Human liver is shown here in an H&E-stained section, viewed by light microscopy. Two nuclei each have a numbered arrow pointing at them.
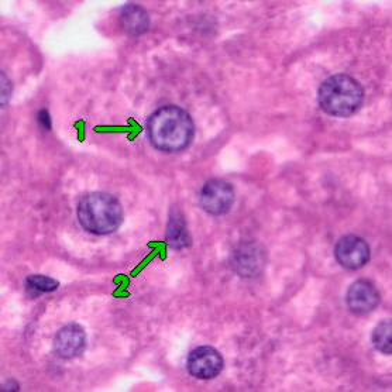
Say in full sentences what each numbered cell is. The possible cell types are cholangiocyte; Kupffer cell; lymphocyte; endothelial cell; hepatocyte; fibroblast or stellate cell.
Cell 1 is a hepatocyte and cell 2 is a fibroblast or stellate cell.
